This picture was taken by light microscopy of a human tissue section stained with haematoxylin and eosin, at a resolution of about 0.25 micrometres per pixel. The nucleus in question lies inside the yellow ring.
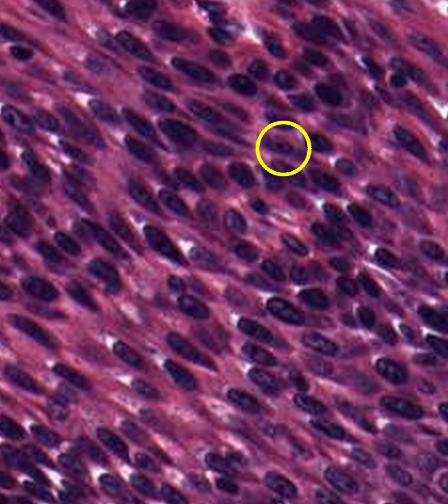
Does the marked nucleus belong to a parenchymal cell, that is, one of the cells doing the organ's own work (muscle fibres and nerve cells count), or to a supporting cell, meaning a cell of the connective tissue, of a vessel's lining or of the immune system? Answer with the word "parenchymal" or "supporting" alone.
parenchymal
